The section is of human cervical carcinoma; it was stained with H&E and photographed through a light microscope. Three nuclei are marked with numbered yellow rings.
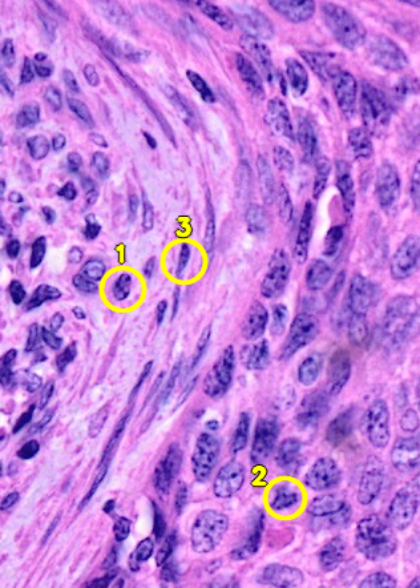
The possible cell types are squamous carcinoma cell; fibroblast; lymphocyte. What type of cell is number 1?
lymphocyte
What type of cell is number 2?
squamous carcinoma cell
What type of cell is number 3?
fibroblast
